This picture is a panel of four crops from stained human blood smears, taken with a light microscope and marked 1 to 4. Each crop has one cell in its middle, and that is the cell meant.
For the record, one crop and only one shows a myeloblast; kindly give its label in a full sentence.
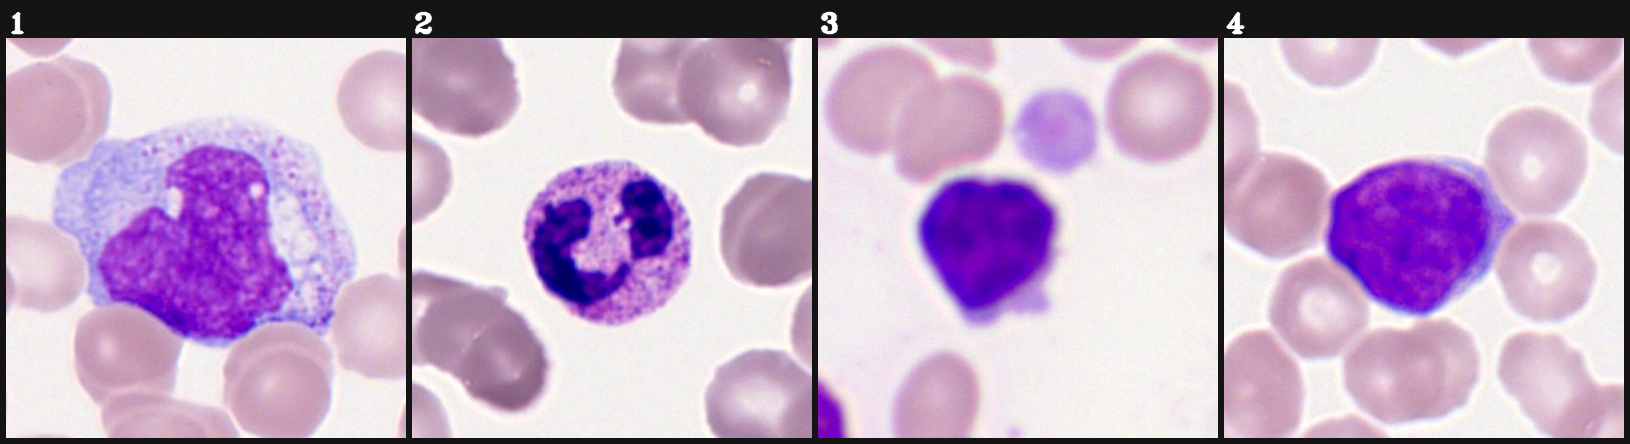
Crop 4 is where a myeloblast is shown.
